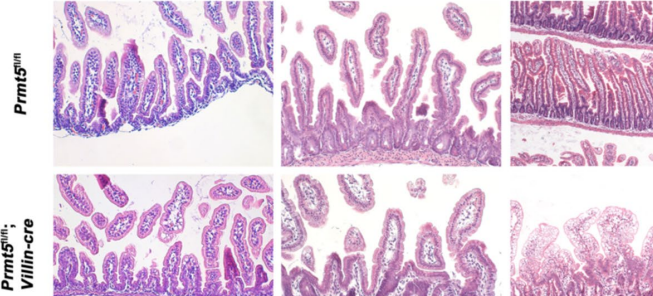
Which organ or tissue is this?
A: Intestine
